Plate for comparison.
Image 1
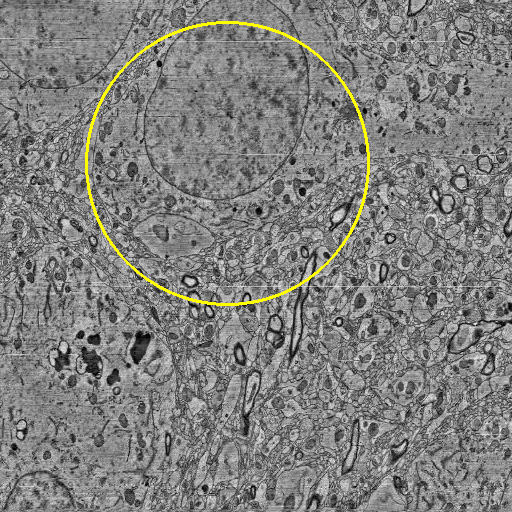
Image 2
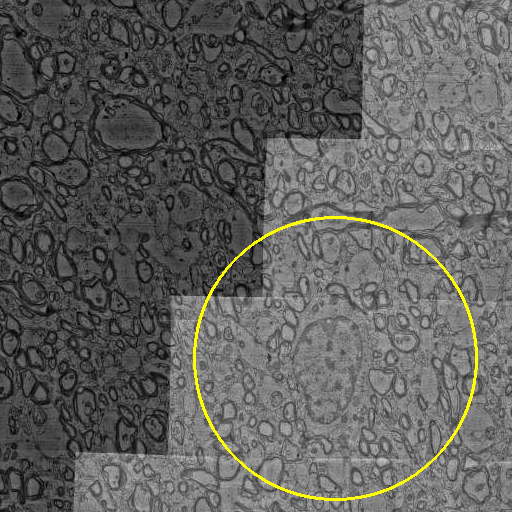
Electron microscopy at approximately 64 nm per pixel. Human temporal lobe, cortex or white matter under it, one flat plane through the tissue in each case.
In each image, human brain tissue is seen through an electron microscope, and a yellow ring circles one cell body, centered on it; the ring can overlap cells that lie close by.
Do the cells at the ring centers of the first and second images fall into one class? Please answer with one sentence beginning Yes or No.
No, the first and second images show two classes of cell at the ring centers.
